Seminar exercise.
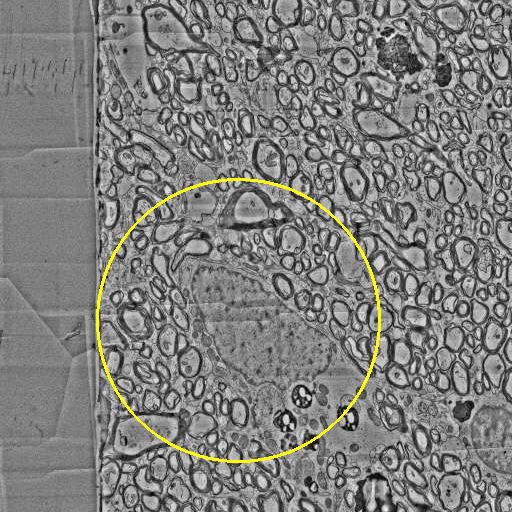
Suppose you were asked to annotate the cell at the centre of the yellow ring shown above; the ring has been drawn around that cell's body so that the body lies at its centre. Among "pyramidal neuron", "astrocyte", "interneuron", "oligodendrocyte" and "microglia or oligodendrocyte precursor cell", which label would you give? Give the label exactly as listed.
astrocyte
